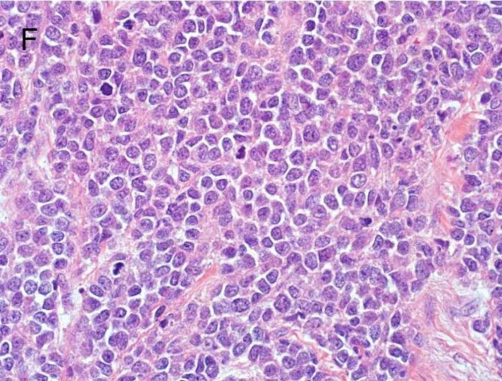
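This shows a solid sheet of tumor cells at high magnification, with a mitosis among them. The cells are densely packed with round to oval nuclei, fine chromatin and small nucleoli. The cytoplasm is scant and pale, so the nuclei nearly touch. Thin pink strands of collagen run between groups of cells.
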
